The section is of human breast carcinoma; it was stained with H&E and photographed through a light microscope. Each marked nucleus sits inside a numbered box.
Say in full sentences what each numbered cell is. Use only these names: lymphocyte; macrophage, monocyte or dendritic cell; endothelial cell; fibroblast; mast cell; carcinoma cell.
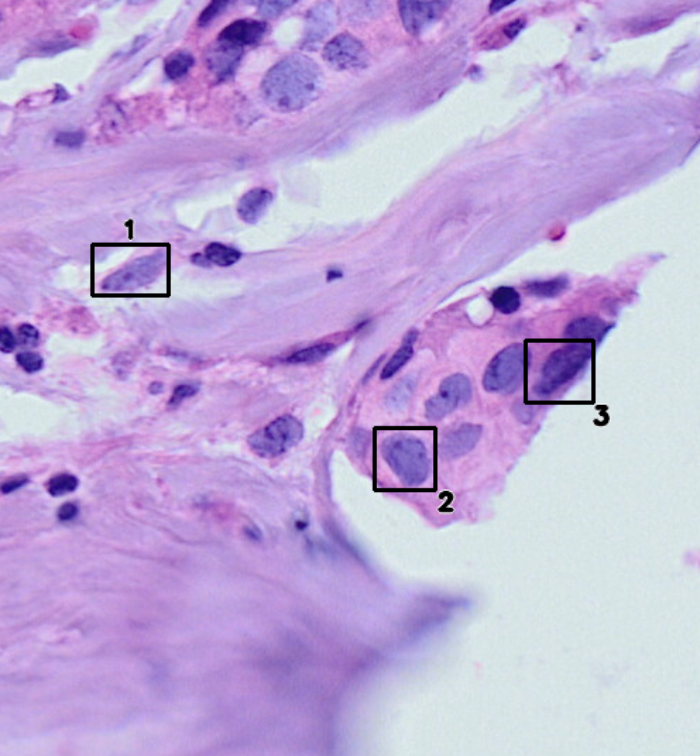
Cell 1 is a fibroblast, cell 2 is a carcinoma cell and cell 3 is a carcinoma cell.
